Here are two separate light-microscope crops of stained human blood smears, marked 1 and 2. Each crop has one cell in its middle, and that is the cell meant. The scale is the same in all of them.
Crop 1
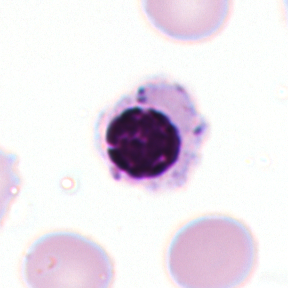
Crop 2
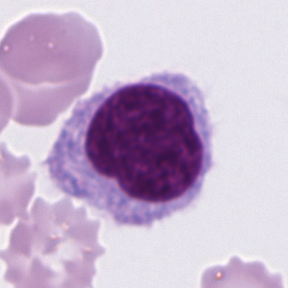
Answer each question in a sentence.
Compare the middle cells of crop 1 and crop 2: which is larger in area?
It is the cell in crop 2, about 2 times as large in area as the cell in crop 1.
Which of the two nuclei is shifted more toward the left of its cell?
Seen within its cell, the nucleus in crop 1 lies further toward the left.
